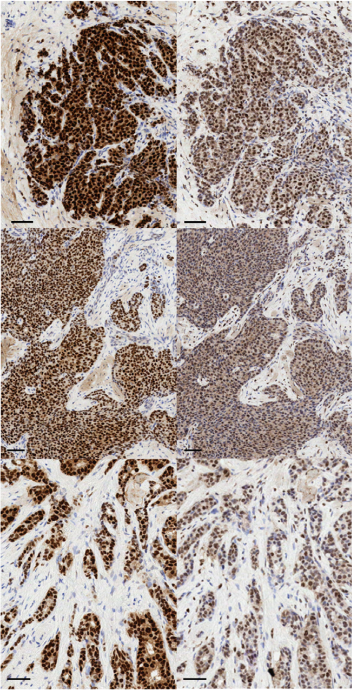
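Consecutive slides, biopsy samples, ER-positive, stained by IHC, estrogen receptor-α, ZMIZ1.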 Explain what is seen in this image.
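Breast cancer tissue in which large, densely packed nests and cords of tumour cells are separated by pale, fibrous stroma. In the tumour cells the brown stain lies in round to oval nuclei crowded side by side, while the stromal cells between the nests are few, have small elongated blue nuclei and show little or no brown staining. Matching fields in the two columns show the same arrangement of nests and stroma.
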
